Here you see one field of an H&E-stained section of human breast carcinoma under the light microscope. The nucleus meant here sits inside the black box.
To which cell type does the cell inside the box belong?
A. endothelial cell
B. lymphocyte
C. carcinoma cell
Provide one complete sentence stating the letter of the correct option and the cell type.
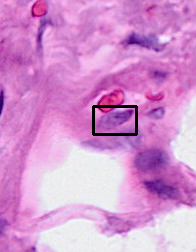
In this item, the cell inside the box is an endothelial cell, and option A is right.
